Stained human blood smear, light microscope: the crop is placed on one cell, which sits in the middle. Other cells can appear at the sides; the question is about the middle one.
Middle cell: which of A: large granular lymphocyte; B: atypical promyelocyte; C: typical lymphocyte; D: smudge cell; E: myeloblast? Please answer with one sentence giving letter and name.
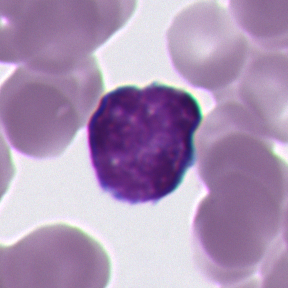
The cell right in the middle is a typical lymphocyte, so option C is the one.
